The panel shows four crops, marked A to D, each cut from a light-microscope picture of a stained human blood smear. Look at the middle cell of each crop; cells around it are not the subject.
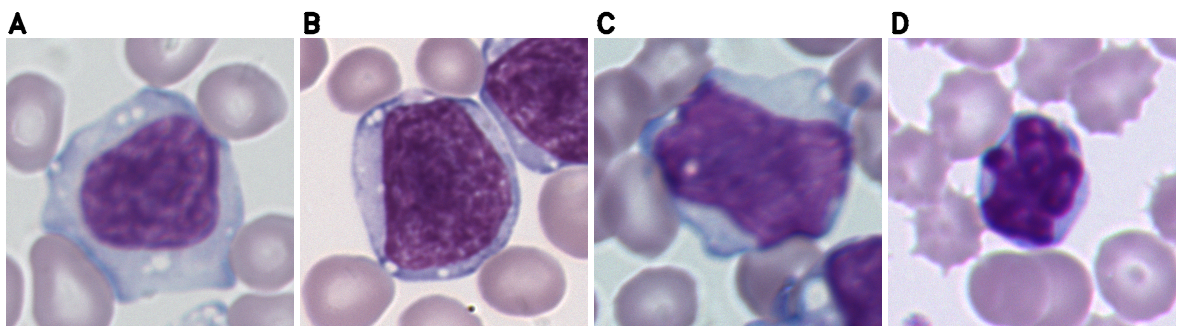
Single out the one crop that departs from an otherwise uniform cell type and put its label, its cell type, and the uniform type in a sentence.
Crop D alone shows a typical lymphocyte; the other crops are all myeloblasts.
